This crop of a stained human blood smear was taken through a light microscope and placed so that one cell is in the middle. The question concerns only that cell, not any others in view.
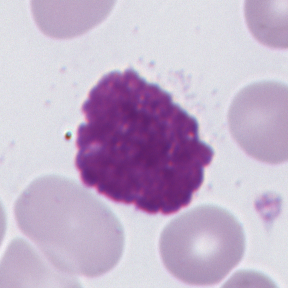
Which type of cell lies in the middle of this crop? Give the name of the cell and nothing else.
smudge cell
